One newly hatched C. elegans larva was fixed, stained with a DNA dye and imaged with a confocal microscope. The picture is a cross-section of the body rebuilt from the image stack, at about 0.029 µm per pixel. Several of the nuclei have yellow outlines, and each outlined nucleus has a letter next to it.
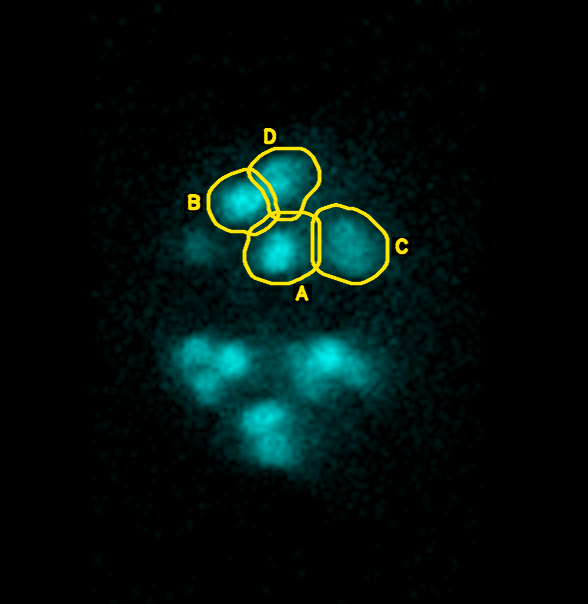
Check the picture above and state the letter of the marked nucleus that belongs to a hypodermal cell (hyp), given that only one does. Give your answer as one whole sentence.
Of the marked nuclei, D is the one in a hypodermal cell (hyp).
